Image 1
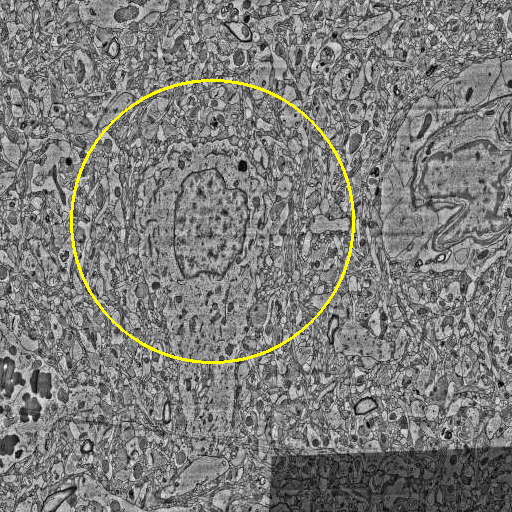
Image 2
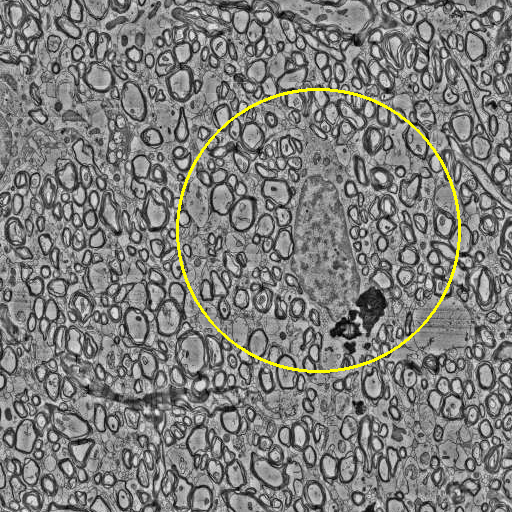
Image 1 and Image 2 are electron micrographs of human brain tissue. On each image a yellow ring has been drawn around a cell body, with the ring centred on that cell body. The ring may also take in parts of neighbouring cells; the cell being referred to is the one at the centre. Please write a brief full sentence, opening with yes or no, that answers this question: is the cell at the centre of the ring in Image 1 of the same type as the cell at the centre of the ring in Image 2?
No, the two cells are of two types.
